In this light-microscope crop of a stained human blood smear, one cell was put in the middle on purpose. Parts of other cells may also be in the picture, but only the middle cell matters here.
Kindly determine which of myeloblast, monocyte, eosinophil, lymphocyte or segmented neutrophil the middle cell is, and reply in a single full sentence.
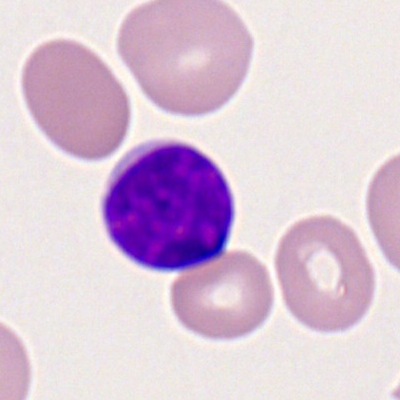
The middle of this crop is occupied by a lymphocyte.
